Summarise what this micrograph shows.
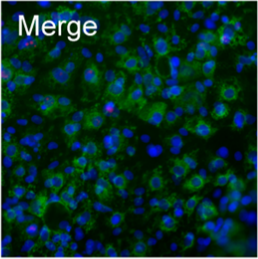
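Most cells have green cytoplasm, often brightest in a ring around the nucleus, while round blue-stained nuclei sit centrally. Only very few nuclei show small red dots, so red labelling is scarce among the green cells.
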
